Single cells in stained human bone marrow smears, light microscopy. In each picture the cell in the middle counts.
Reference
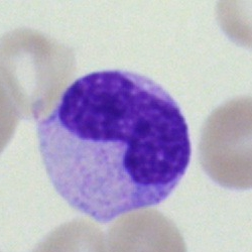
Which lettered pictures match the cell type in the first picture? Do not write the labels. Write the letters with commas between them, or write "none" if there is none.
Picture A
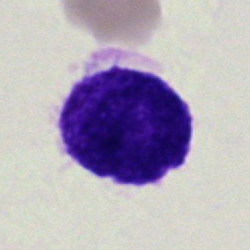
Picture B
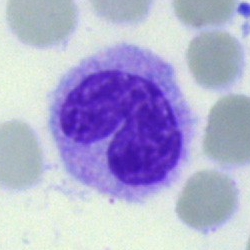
B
